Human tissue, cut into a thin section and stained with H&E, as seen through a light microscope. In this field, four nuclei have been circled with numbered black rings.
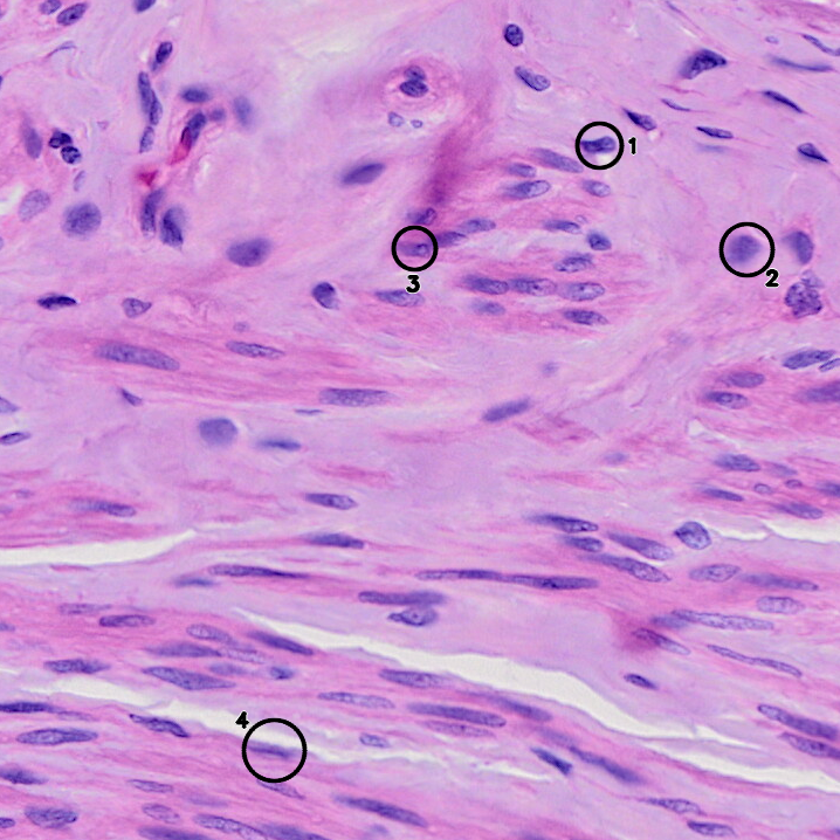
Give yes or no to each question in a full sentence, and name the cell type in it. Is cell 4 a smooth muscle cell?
Yes, the cell bearing the number 4 is a smooth muscle cell.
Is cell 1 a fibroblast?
Yes, the one numbered 1 is a fibroblast.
